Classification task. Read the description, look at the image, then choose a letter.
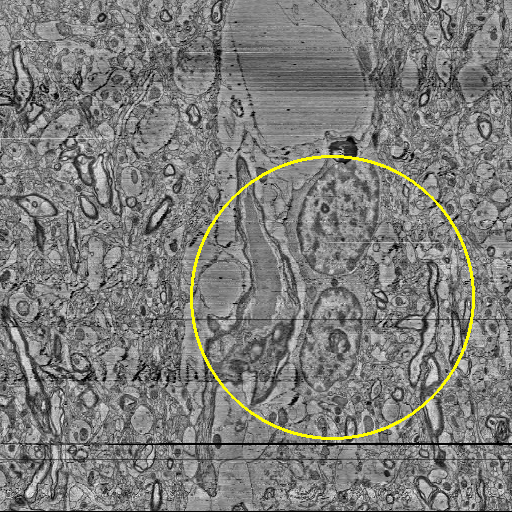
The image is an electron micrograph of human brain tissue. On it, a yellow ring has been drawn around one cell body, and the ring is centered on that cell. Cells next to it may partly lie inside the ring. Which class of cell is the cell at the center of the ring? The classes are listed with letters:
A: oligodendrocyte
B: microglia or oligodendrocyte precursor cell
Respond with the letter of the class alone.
A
